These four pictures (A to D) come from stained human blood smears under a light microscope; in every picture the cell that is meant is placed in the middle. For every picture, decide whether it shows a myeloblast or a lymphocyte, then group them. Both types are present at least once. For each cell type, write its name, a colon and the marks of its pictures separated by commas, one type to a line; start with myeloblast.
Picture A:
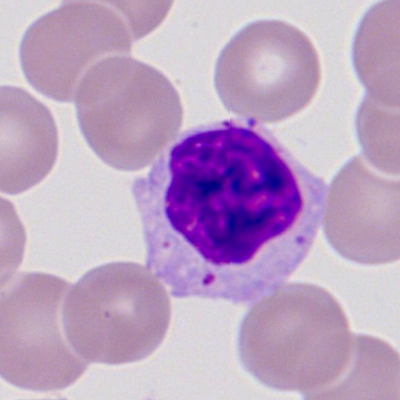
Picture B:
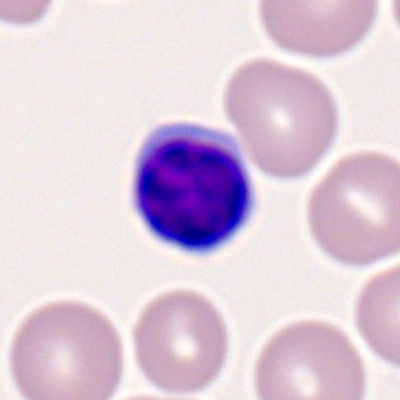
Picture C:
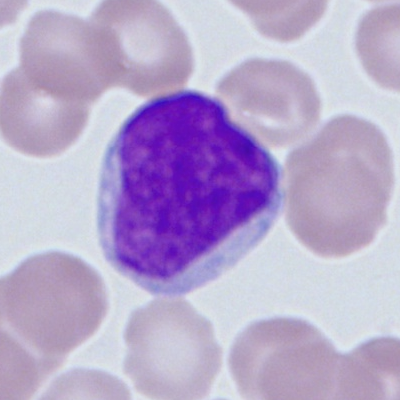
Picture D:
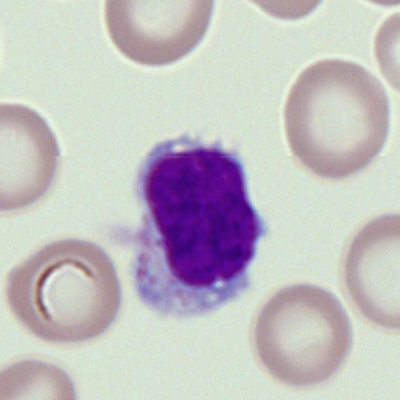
myeloblast: C
lymphocyte: A, B, D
